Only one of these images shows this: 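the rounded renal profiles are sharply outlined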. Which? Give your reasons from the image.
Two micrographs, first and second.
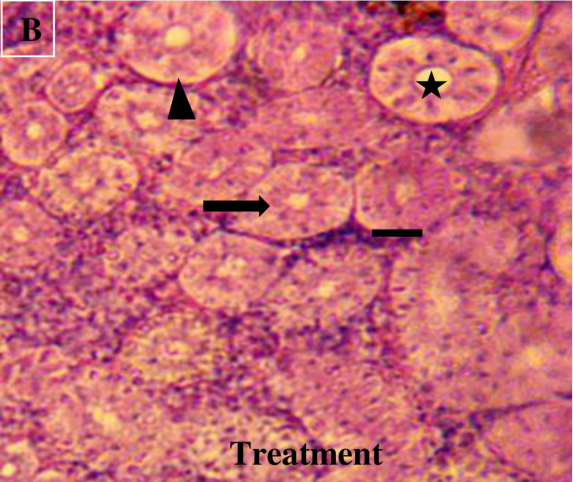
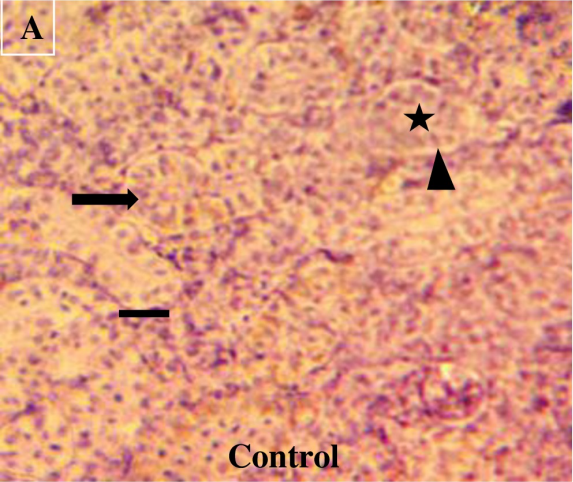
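First image: round to oval profiles each bounded by a distinct dark line. Second image: profiles are faint, with blurred borders merging into the surrounding tissue. That points to this answer: the first image.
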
